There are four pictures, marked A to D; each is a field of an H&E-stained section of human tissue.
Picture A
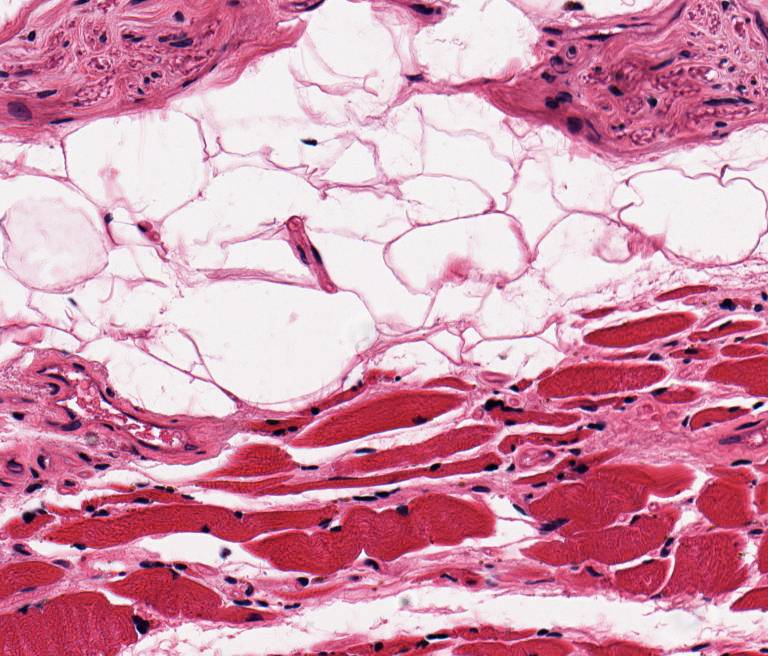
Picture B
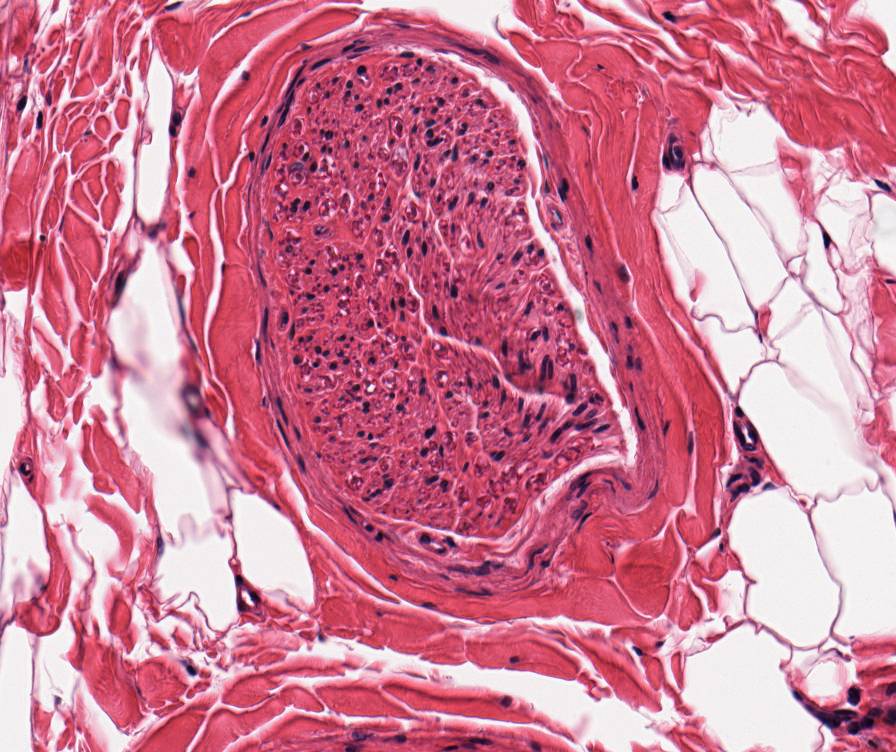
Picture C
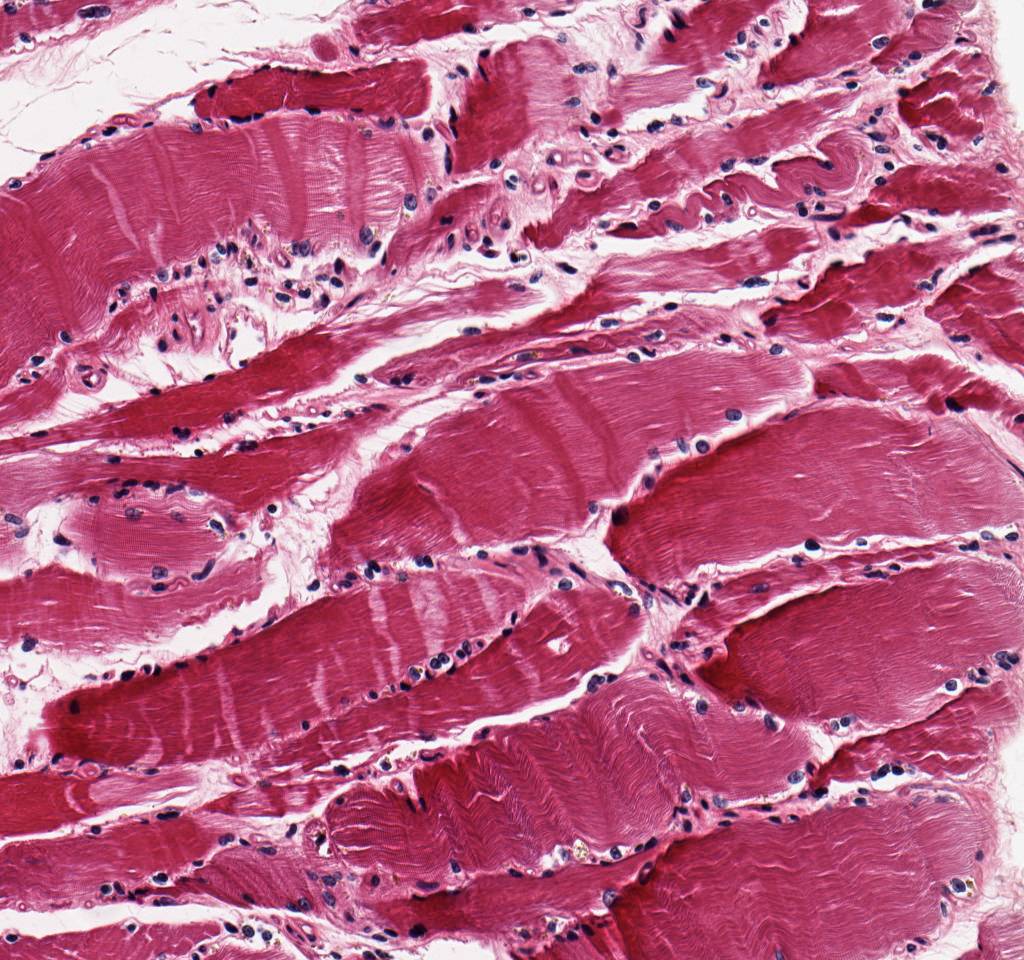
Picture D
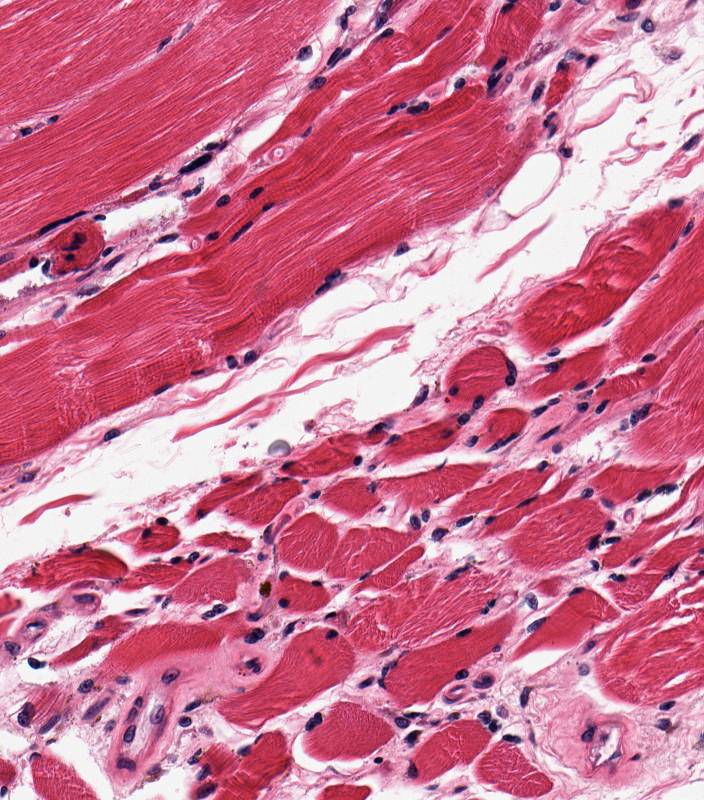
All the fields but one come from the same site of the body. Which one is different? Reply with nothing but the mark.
B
